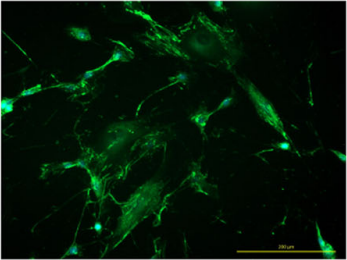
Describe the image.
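Some cells are broad and spread; others are slender. A few small, bright, rounded green bodies lie among them.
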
